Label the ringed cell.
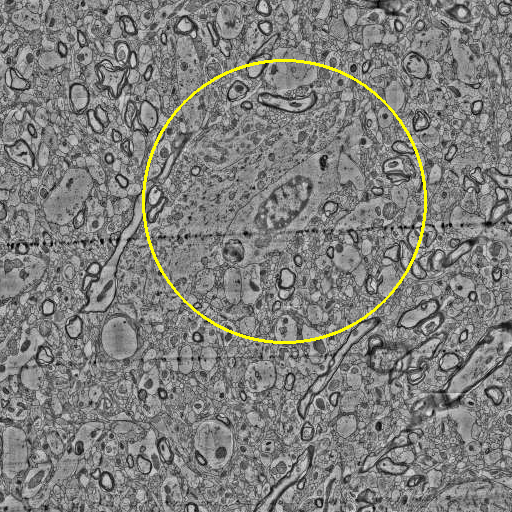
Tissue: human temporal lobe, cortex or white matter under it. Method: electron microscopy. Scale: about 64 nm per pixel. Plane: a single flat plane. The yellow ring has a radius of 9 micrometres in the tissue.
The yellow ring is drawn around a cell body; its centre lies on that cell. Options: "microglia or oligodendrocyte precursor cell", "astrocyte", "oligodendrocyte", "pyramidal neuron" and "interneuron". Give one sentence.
The ringed cell is a microglial cell or oligodendrocyte precursor cell.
